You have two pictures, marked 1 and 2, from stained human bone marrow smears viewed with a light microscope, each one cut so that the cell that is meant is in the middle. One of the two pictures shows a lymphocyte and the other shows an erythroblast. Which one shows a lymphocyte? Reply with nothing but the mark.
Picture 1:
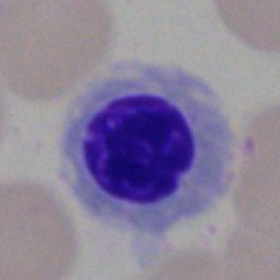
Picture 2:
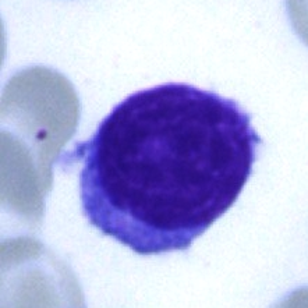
2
